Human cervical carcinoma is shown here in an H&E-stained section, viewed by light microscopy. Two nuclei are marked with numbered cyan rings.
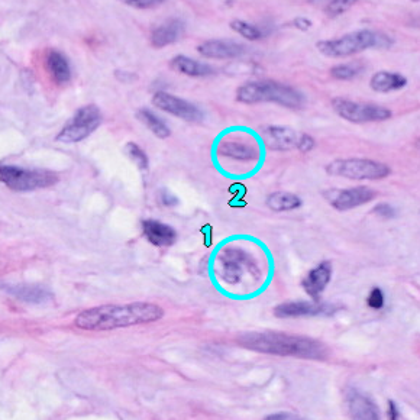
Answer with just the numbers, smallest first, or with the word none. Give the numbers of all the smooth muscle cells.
2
